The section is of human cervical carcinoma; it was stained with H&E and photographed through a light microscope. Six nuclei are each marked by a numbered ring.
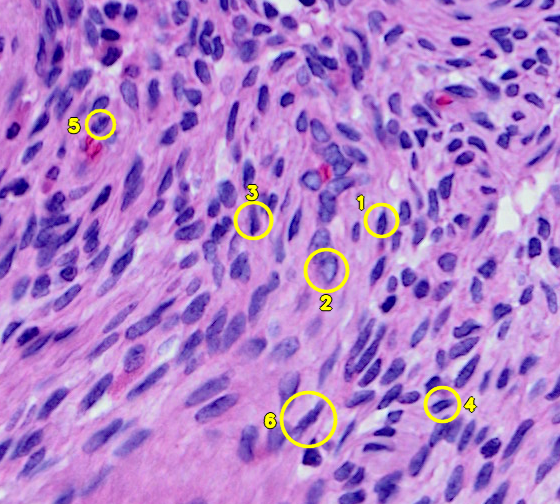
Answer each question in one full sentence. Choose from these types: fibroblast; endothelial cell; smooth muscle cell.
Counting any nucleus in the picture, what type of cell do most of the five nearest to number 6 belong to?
The majority of the five nuclei closest to number 6 belong to fibroblasts.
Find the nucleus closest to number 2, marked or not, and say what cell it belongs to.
The cell nearest to number 2 is an endothelial cell.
